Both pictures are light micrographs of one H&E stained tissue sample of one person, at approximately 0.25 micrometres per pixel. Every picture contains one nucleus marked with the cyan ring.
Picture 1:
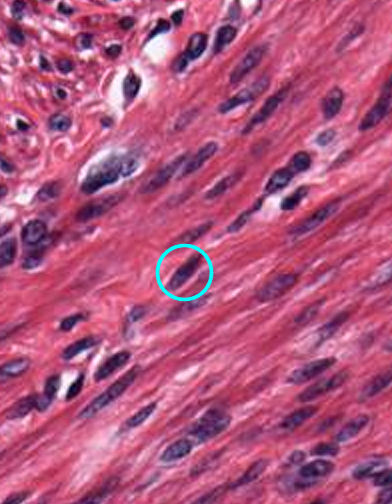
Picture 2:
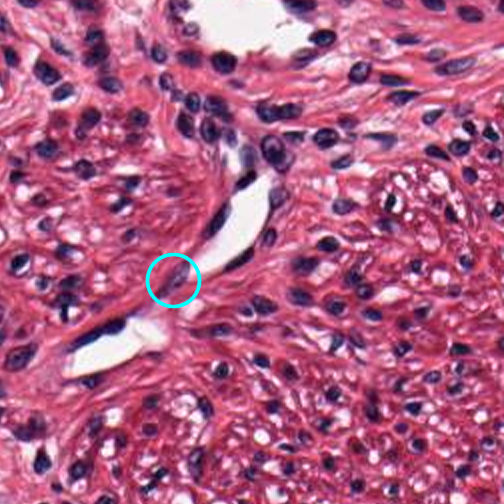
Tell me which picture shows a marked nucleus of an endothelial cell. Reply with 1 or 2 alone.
2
